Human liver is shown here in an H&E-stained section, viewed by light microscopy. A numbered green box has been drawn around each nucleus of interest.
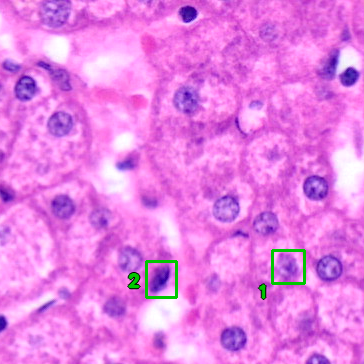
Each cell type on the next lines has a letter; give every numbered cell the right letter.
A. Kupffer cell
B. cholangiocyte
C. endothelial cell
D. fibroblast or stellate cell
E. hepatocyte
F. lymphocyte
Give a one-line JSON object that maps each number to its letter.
{"1": "E", "2": "D"}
